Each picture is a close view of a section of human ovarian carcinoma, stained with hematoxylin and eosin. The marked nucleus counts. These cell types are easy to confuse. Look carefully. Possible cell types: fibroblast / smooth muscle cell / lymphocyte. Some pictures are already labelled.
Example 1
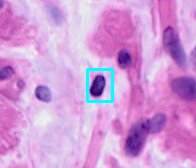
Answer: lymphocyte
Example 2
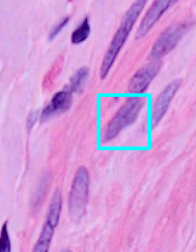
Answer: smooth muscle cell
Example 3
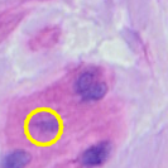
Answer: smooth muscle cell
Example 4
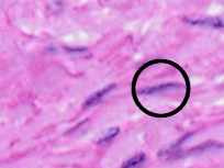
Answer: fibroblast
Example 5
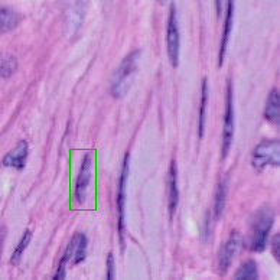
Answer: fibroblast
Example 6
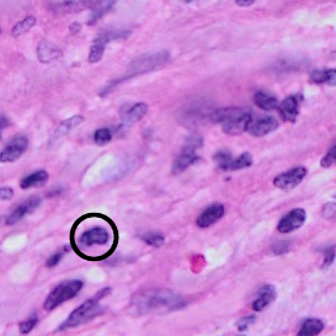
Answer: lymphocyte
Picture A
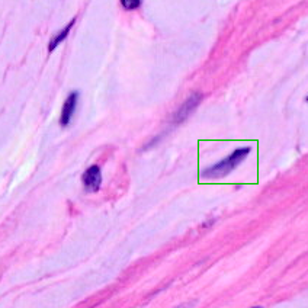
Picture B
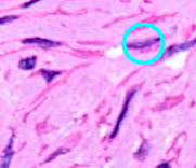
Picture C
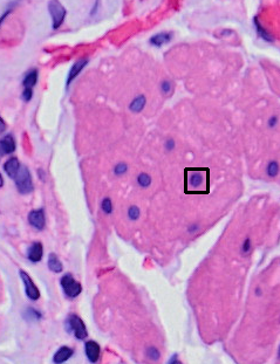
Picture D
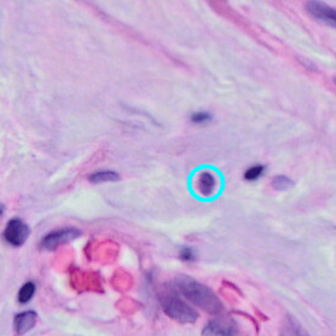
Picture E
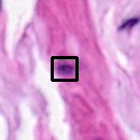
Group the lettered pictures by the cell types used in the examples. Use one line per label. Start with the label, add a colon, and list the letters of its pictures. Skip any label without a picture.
fibroblast: A, B
smooth muscle cell: C, E
lymphocyte: D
